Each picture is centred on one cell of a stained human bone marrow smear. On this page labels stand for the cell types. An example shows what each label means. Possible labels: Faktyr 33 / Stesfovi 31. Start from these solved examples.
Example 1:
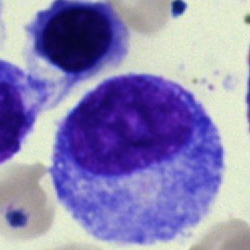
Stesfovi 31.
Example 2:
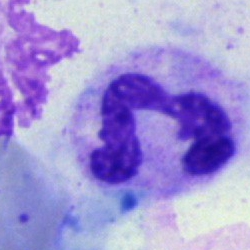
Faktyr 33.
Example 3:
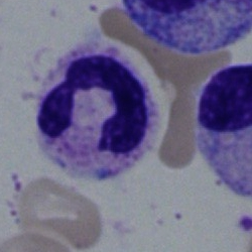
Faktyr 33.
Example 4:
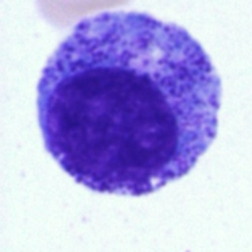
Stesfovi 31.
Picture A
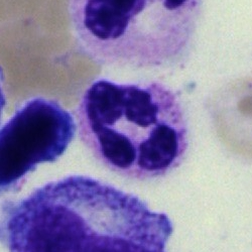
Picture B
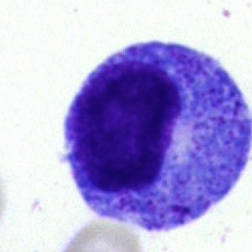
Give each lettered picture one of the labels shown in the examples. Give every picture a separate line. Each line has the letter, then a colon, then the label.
A: Faktyr 33.
B: Stesfovi 31.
